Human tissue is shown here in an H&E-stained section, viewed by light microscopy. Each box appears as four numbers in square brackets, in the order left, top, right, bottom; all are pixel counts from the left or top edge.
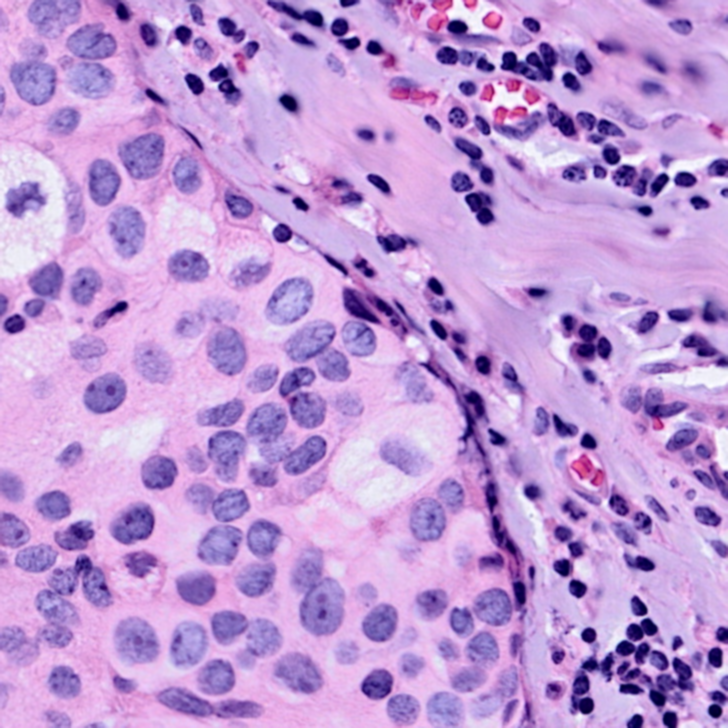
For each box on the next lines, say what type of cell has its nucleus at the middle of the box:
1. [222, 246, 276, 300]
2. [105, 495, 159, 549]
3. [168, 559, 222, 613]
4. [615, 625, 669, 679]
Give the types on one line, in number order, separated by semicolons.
carcinoma cell; carcinoma cell; carcinoma cell; lymphocyte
